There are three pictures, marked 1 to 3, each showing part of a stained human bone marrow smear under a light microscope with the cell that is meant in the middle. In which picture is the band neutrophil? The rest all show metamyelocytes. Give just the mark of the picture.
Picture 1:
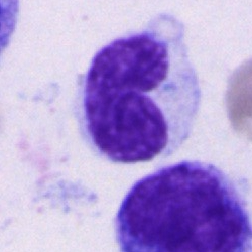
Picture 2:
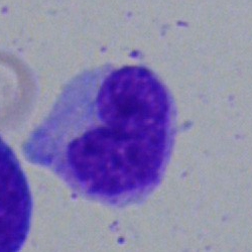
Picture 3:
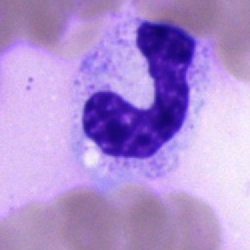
3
